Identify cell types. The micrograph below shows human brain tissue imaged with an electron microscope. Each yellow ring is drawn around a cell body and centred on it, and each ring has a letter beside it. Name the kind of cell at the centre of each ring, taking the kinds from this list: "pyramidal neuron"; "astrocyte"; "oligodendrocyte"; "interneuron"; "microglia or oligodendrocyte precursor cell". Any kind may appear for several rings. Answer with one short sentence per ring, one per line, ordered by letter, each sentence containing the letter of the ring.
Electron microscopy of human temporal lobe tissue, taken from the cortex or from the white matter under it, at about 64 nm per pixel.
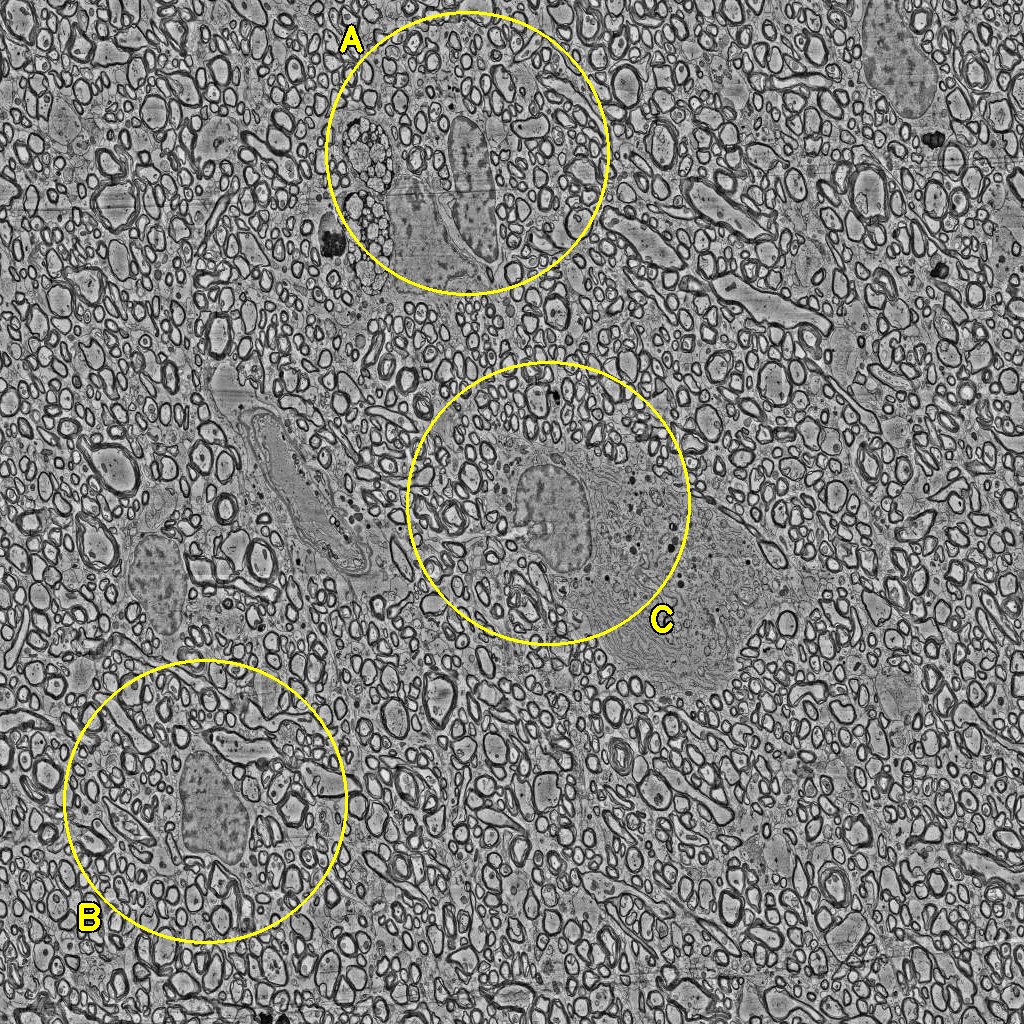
Ring A marks a microglial cell or oligodendrocyte precursor cell.
Ring B marks an oligodendrocyte.
Ring C marks an oligodendrocyte.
